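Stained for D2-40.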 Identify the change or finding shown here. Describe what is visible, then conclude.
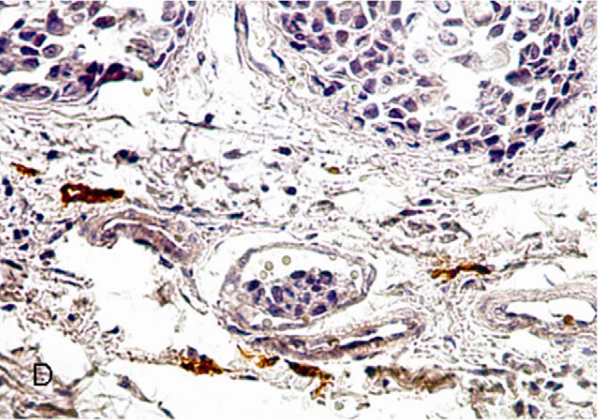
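A cluster of tumor cells lies within a small vessel lumen. Red blood cells lie in the lumen beside the tumor cells. The vessel wall is not stained brown. The answer: Blood vessel invasion.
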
